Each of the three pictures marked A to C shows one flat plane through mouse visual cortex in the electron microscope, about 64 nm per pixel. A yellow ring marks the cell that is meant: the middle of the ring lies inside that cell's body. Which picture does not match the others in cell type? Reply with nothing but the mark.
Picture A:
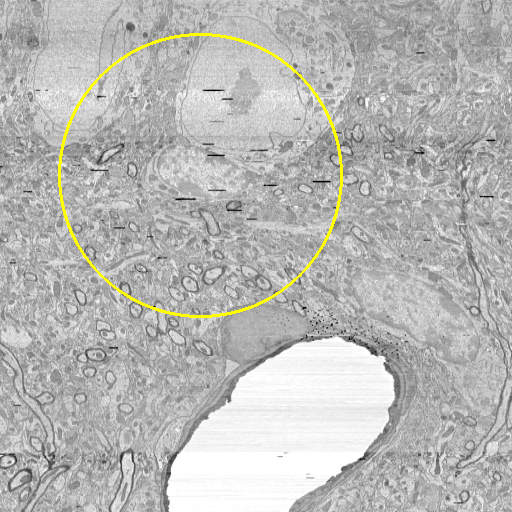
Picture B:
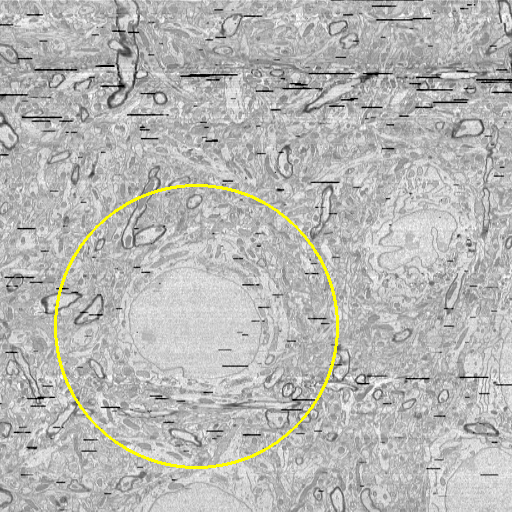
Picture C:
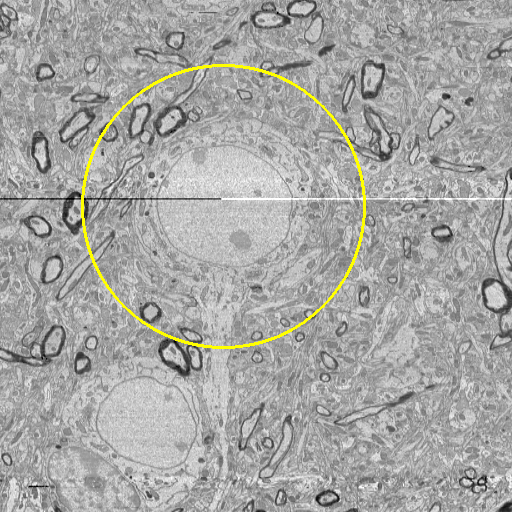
A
